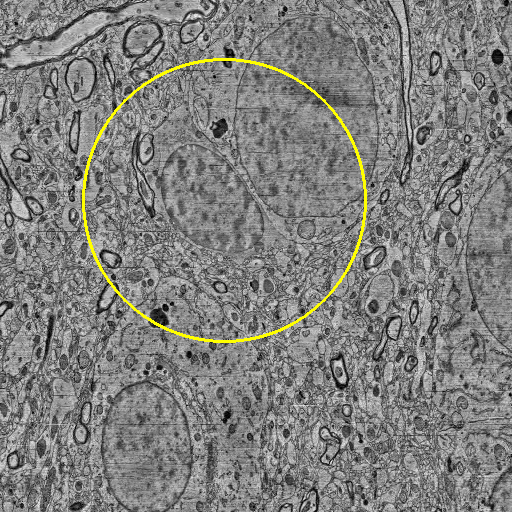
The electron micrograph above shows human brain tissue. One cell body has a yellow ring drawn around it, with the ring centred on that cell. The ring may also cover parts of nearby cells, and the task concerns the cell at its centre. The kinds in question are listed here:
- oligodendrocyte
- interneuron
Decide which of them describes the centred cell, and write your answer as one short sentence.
The centred cell is an oligodendrocyte.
